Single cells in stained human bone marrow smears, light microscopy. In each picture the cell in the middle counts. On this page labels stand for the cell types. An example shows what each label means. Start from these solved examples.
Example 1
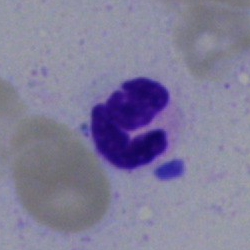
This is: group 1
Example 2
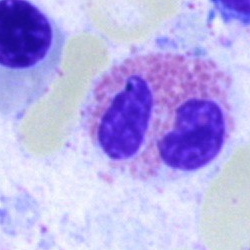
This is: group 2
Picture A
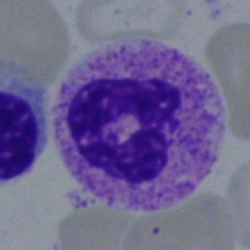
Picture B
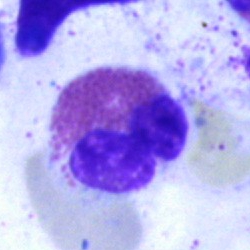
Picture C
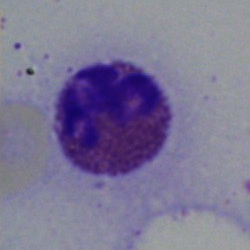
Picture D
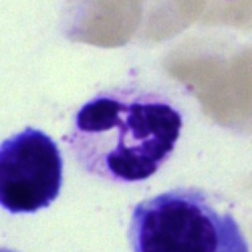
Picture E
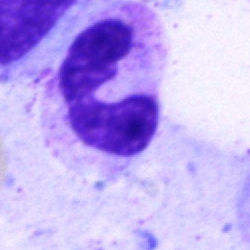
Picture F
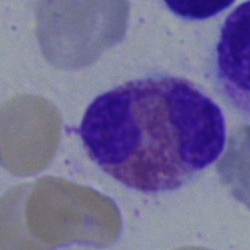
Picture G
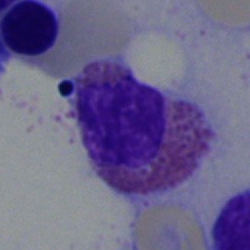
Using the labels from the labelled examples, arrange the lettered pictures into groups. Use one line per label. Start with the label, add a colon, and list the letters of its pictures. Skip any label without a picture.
group 1: A, D, E
group 2: B, C, F, G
